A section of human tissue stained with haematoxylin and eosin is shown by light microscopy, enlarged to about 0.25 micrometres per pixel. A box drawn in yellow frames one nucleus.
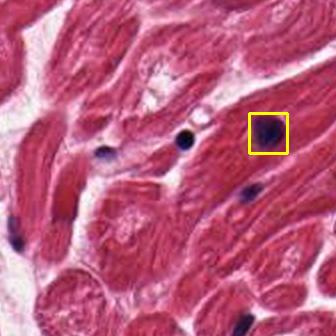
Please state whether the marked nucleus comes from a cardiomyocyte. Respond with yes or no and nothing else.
yes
